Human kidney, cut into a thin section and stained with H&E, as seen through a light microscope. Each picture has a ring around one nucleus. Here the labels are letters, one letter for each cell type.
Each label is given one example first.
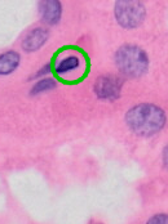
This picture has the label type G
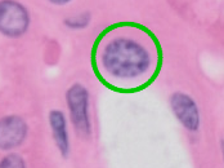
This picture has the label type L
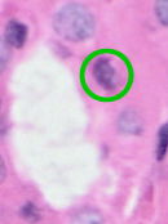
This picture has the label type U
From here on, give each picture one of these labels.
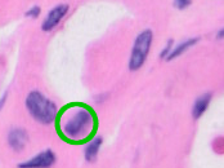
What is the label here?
type L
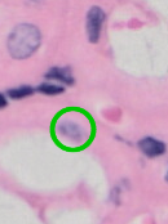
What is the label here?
type U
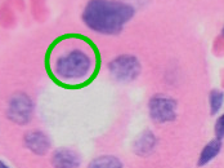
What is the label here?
type U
